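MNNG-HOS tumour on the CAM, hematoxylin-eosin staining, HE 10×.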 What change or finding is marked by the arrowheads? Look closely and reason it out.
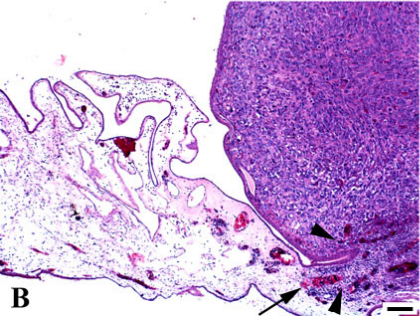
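The arrowheads mark small blood-filled vessels at the edge of the tumour. Several red-filled vessel profiles cluster near the tumour base. So: angiogenesis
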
